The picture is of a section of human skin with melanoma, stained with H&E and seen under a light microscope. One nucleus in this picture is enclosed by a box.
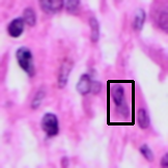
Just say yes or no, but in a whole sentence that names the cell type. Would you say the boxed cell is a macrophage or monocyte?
Yes, regarding cell type, the boxed cell is a macrophage or monocyte.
